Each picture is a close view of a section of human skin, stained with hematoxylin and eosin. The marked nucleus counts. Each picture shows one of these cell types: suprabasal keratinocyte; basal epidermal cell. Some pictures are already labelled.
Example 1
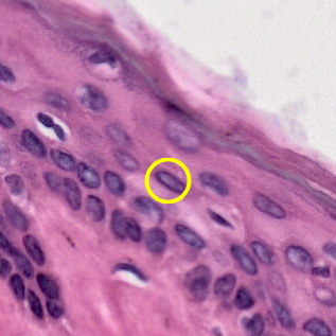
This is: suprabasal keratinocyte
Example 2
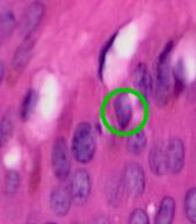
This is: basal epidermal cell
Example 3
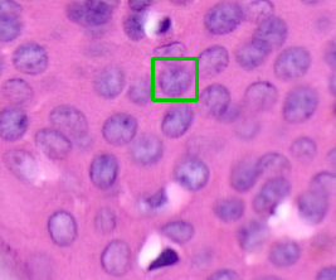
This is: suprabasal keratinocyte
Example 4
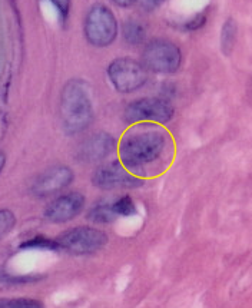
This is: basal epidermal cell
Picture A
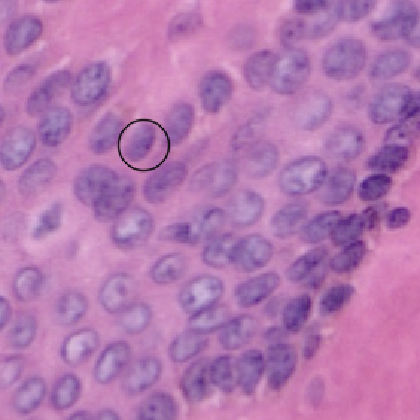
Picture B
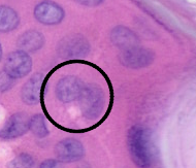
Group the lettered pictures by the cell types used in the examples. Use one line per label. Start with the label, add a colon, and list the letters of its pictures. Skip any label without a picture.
suprabasal keratinocyte: B
basal epidermal cell: A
